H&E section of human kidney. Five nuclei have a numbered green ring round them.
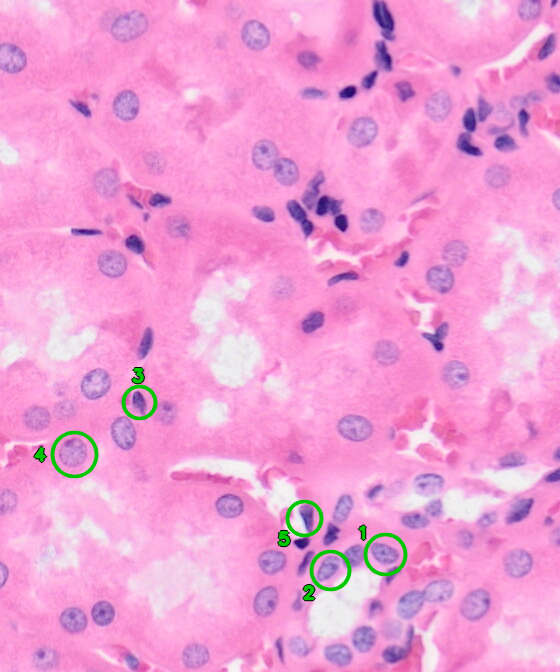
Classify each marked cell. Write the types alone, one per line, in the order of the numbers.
collecting duct cell
collecting duct cell
endothelial cell
proximal tubule cell
endothelial cell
